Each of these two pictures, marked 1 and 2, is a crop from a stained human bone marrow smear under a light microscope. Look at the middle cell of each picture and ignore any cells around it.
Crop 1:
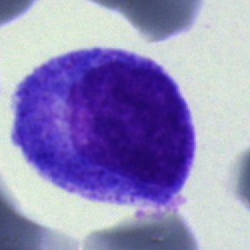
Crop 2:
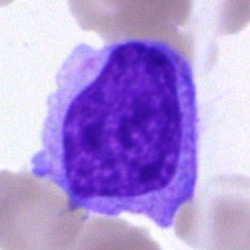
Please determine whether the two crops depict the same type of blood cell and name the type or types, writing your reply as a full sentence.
No, a promyelocyte is in crop 1, while a blast is in crop 2.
